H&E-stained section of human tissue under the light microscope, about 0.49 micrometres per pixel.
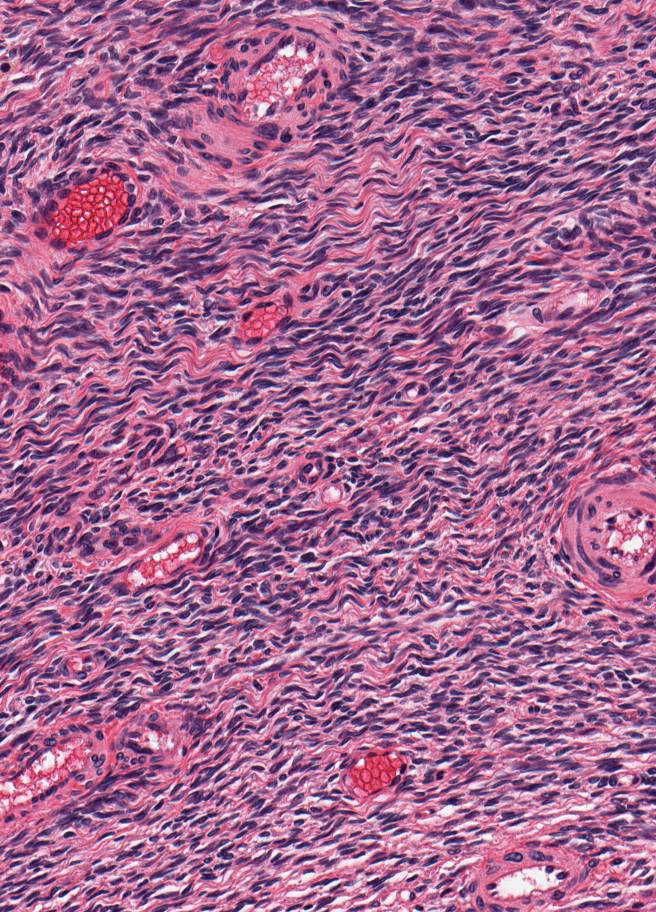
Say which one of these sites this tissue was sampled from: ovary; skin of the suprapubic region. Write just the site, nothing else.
ovary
